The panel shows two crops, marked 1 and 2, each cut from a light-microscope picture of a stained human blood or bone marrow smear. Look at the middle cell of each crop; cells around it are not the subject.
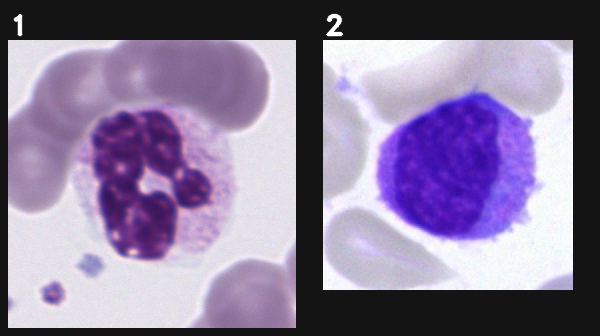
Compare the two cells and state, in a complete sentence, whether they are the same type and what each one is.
No, crop 1 is the one with a segmented neutrophil; crop 2 has a monocyte.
